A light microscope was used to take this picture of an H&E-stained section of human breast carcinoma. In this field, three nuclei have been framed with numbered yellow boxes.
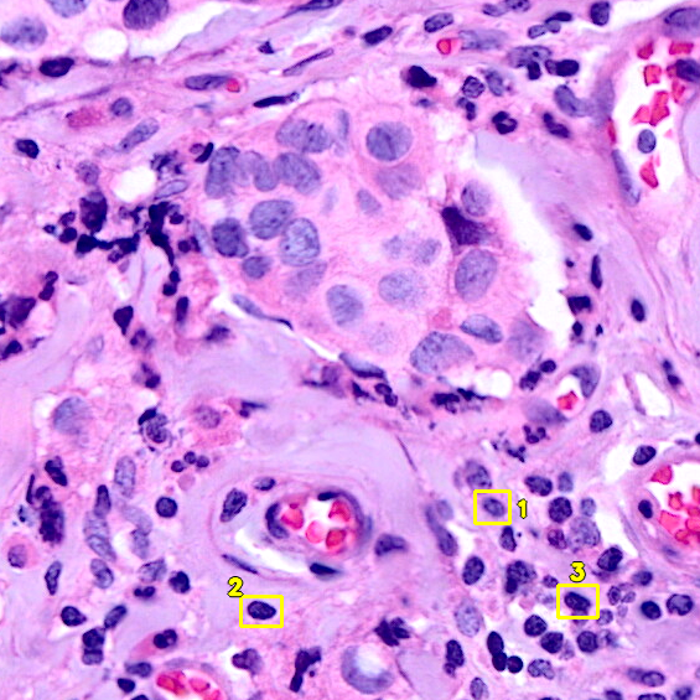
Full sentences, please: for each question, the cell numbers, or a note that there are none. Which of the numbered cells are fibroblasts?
Of the numbered cells, none are fibroblasts.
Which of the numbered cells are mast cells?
Only cell 1 qualifies as a mast cell among the numbered cells.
